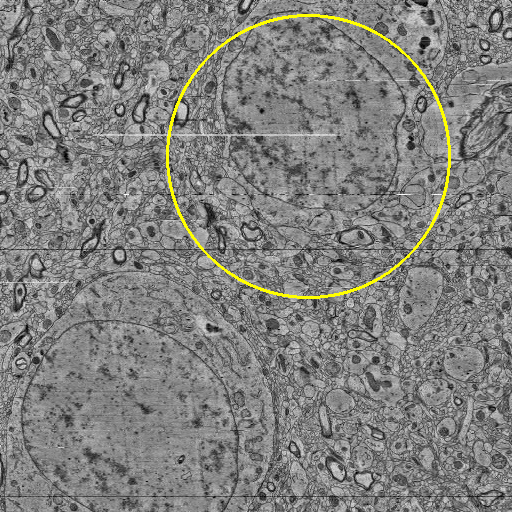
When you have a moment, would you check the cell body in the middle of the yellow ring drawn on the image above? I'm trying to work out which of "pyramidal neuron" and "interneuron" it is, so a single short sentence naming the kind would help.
This cell body belongs to a pyramidal neuron.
